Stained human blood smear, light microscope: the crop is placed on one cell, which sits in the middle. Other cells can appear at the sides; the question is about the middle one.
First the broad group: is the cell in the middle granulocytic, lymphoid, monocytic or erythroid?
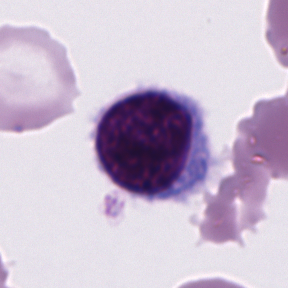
lymphoid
